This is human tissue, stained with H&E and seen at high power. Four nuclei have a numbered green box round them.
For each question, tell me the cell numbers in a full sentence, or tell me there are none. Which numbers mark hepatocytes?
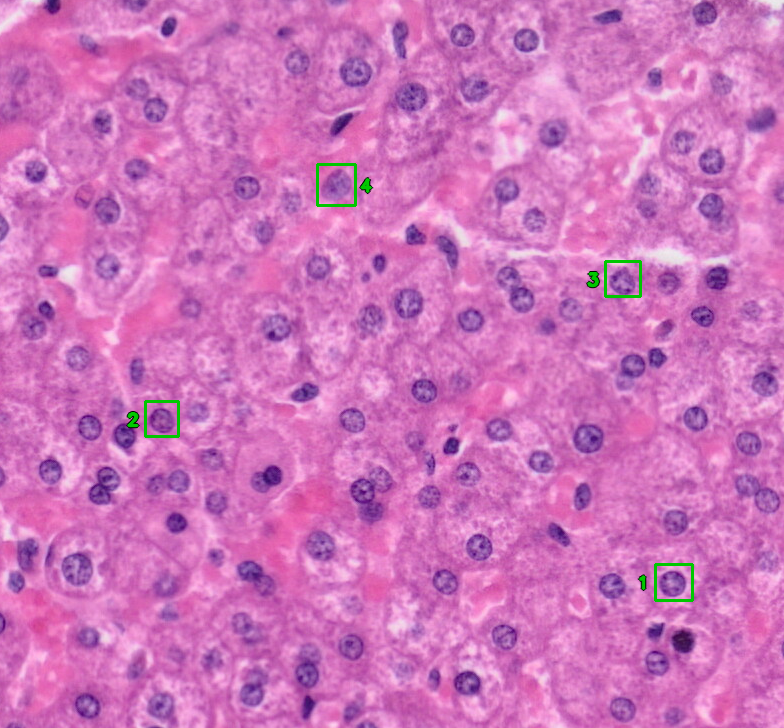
The cells carrying the numbers 1, 2 and 3 are hepatocytes.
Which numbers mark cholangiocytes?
Honestly, none of the numbered cells are cholangiocytes.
